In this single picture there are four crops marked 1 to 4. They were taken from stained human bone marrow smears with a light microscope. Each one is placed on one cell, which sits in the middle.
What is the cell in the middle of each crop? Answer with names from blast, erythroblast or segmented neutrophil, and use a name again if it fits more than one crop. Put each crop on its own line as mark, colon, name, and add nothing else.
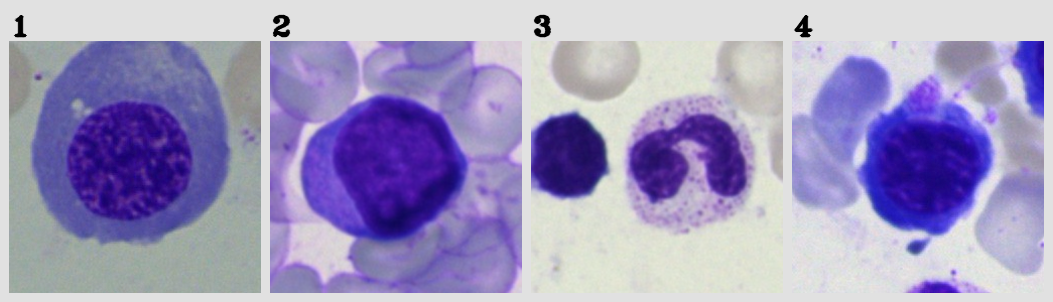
1: erythroblast
2: blast
3: segmented neutrophil
4: erythroblast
